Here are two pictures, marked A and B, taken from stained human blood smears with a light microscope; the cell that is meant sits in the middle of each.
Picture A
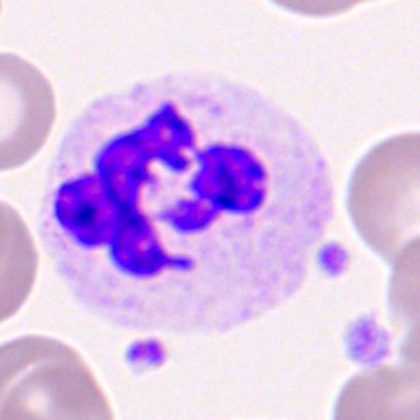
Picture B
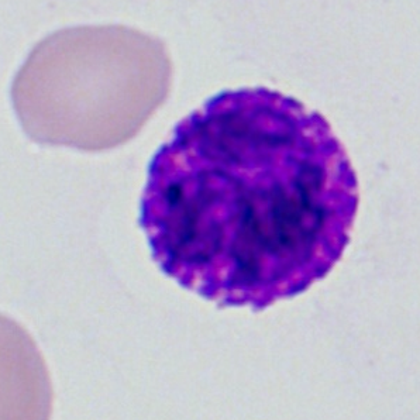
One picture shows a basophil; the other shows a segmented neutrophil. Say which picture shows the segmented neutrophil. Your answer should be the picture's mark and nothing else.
A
